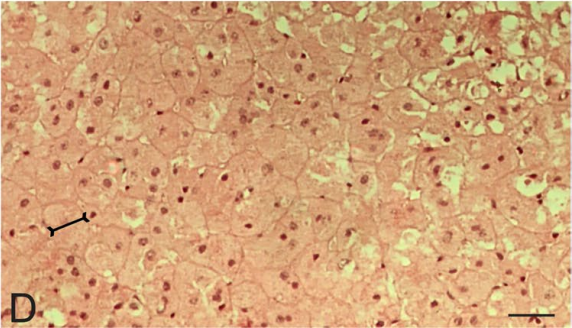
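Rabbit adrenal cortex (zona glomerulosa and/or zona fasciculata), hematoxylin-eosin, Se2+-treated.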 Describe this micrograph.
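The cells appear large, so nuclei are widely spaced across the field. Nuclei are round and central, stained a paler purple, with small dark dots inside. Numerous irregular empty spaces of varying size are scattered through the tissue, most abundant toward the right, giving a loosened, vacuolated appearance. Cells retain a sheet-like arrangement in the left part of the field.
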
